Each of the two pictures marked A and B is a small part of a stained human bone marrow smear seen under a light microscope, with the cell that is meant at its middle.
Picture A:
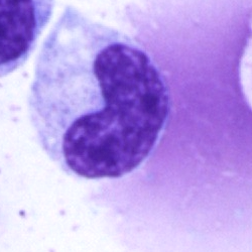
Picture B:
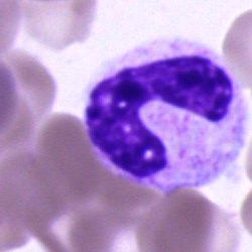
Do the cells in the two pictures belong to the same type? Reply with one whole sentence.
No, the types are not the same, since picture A shows a metamyelocyte and picture B a band neutrophil.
